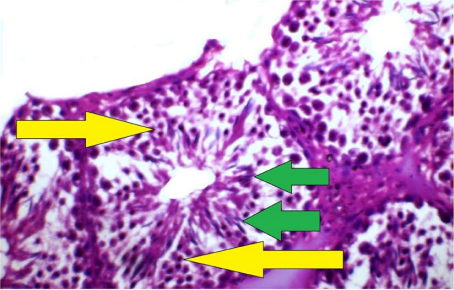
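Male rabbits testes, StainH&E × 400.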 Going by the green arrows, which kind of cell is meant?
Spermatozoids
